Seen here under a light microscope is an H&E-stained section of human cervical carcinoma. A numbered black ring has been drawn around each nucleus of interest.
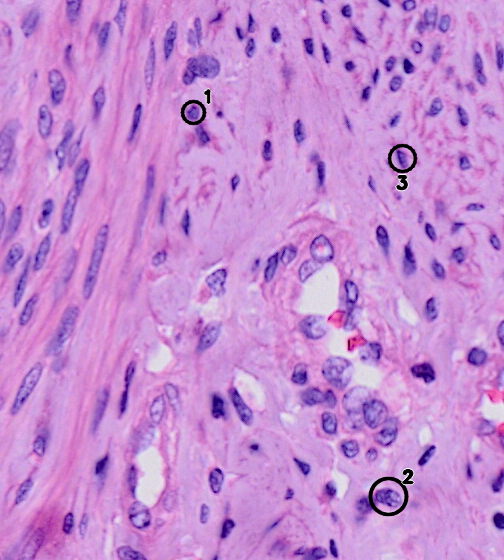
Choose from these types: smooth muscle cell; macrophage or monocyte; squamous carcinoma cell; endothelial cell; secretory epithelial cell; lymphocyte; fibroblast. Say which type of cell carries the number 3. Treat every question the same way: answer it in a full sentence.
Here, the cell given the number 3 is a smooth muscle cell.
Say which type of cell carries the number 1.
Cell 1 should be recorded as a smooth muscle cell.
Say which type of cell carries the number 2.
The one labeled 2 is a lymphocyte, to put it simply.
